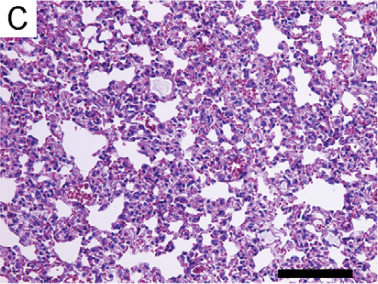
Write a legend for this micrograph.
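Only scattered, irregular white air spaces remain open; the rest of the field is taken up by thickened walls packed with closely set dark purple nuclei. Between the nuclei lie many small bright red cells, red blood cells, giving the tissue a mottled pink-red and purple look. The septa are broad and crowded rather than slender, and the remaining spaces are narrowed and misshapen. Compared with normal lung, the tissue looks dense and consolidated, with much more cellularity and congestion.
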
